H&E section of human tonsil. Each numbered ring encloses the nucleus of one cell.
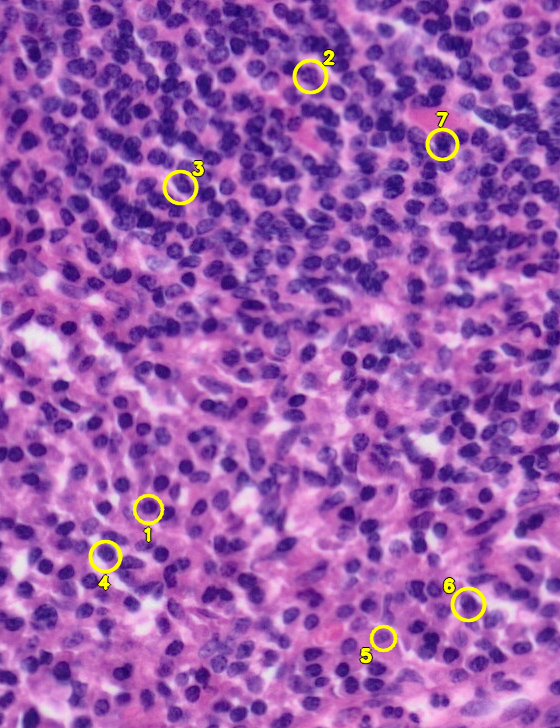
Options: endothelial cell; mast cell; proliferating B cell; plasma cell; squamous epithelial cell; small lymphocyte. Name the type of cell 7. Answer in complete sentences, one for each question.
The one numbered 7 among the marked cells is a small lymphocyte.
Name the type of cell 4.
The cell that carries the label 4 is a plasma cell.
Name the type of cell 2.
Cell number 2 in this section is a small lymphocyte.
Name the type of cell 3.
Cell 3 of the marked set is a small lymphocyte.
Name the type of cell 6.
The nucleus labelled 6 belongs to a plasma cell.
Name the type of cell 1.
Cell 1, as marked in the section, is a plasma cell.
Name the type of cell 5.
The nucleus labeled 5 belongs to a plasma cell.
